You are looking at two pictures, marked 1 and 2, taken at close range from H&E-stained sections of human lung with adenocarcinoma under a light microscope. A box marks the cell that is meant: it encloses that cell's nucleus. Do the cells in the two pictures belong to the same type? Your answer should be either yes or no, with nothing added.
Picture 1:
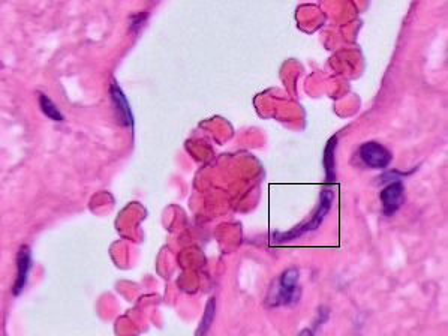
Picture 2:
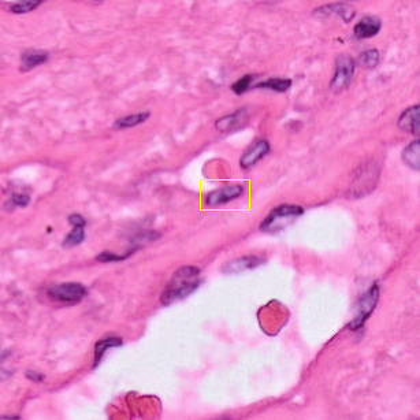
yes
